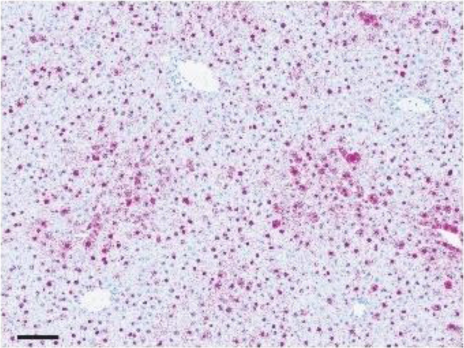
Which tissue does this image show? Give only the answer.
Liver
